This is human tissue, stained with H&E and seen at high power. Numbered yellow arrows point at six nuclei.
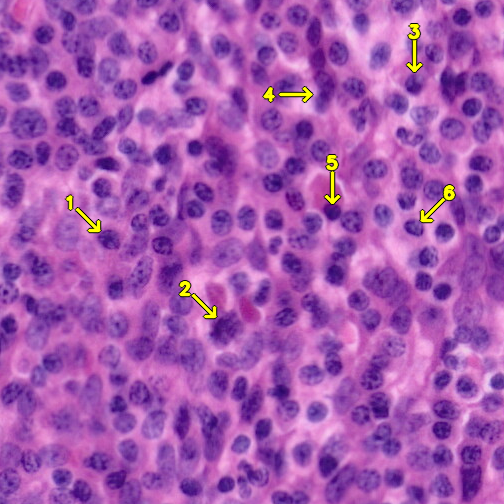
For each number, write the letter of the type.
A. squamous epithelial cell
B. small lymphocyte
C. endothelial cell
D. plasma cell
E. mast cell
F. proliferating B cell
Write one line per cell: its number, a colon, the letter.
1: D
2: A
3: D
4: A
5: D
6: D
